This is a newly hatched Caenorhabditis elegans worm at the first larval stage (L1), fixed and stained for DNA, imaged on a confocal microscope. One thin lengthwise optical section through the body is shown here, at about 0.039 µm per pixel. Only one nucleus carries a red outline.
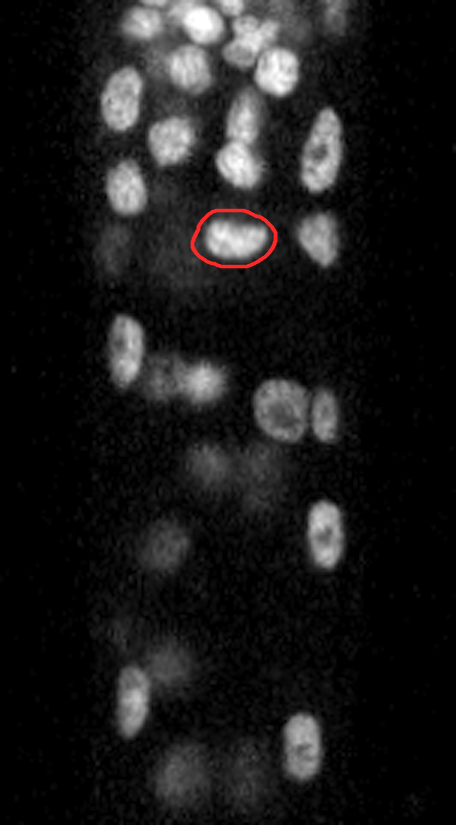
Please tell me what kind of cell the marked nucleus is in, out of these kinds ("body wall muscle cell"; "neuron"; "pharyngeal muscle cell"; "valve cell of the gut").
valve cell of the gut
